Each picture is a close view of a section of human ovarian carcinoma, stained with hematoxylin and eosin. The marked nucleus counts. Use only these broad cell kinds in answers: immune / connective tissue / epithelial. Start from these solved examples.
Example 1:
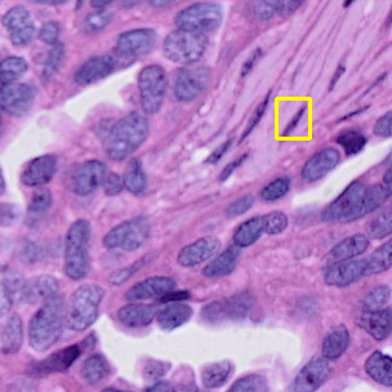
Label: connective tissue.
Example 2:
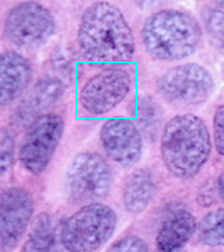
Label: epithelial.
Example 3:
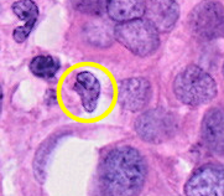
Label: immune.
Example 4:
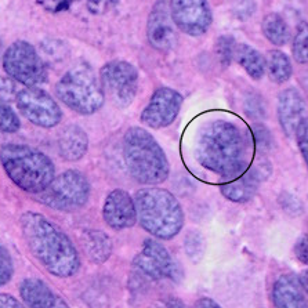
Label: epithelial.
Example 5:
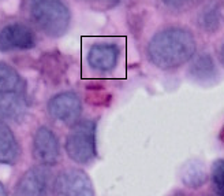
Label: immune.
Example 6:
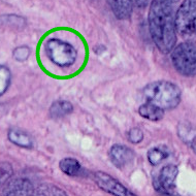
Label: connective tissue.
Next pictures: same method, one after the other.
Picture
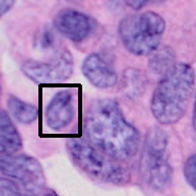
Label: immune.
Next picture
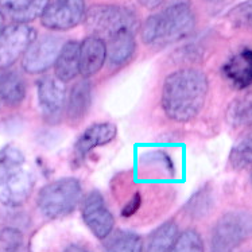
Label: immune.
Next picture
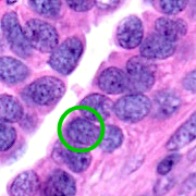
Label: epithelial.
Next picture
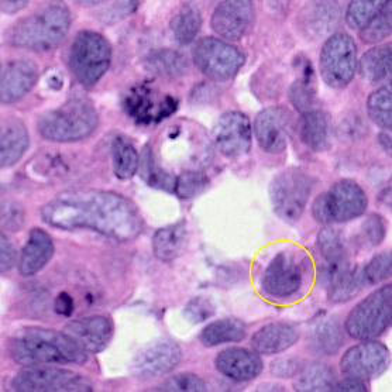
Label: epithelial.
